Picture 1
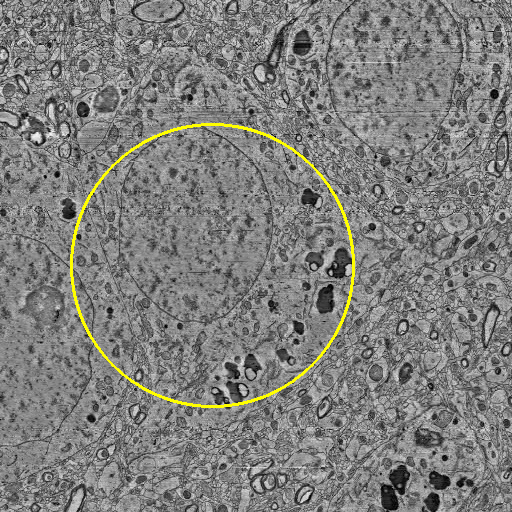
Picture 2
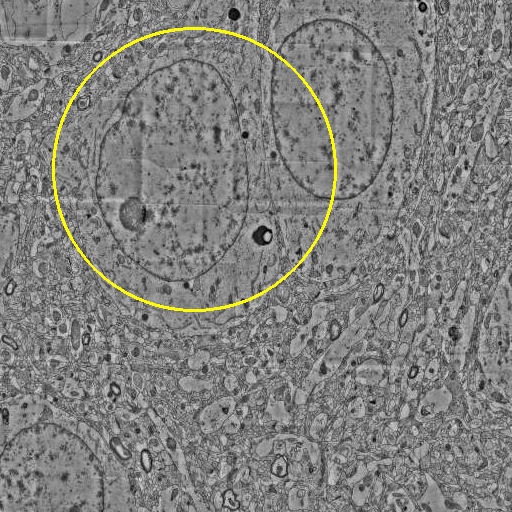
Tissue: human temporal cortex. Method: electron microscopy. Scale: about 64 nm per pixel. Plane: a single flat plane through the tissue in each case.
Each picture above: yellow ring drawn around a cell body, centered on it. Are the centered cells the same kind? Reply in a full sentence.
Yes, the two cells are the same kind.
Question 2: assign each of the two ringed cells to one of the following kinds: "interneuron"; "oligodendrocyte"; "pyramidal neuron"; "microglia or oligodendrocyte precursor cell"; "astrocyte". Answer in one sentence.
In each picture the ringed cell is a pyramidal neuron.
